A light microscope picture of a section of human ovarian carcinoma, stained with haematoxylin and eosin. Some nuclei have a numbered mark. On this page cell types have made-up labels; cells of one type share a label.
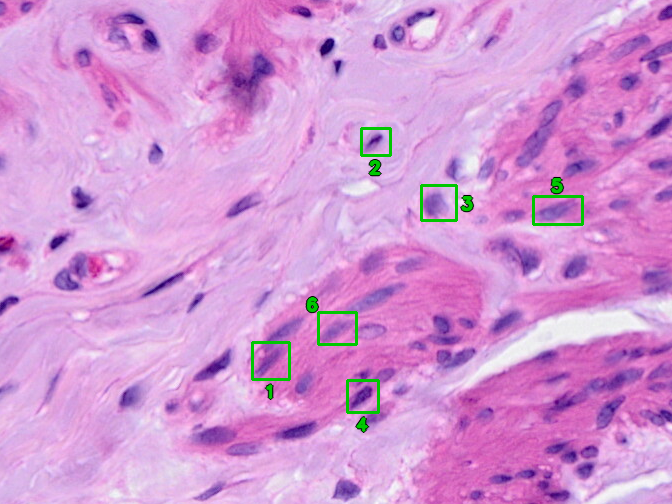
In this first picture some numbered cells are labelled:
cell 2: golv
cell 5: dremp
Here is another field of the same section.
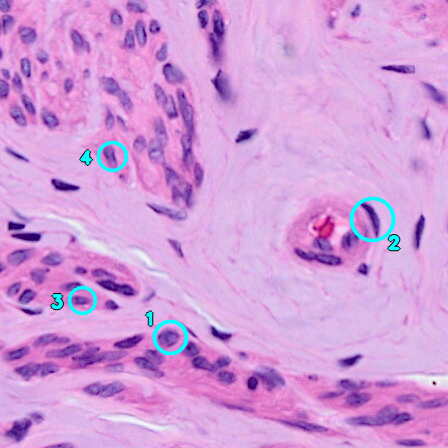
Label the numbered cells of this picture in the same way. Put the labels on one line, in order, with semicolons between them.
dremp; golv; dremp; dremp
